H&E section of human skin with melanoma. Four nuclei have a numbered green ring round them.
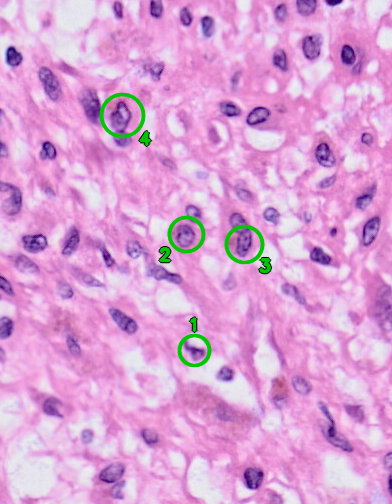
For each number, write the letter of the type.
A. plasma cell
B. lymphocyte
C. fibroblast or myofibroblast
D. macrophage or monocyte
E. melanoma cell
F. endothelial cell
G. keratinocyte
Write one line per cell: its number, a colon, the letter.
1: C
2: D
3: D
4: D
